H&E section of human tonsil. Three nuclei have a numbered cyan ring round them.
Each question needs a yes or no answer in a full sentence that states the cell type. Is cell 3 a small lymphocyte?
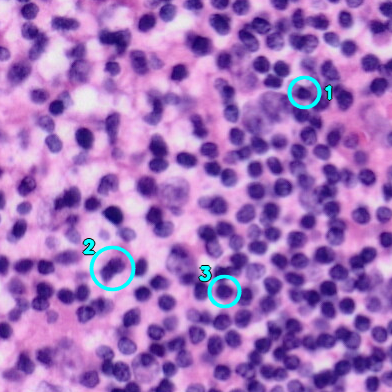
Yes, the cell with the mark numbered 3 is a small lymphocyte.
